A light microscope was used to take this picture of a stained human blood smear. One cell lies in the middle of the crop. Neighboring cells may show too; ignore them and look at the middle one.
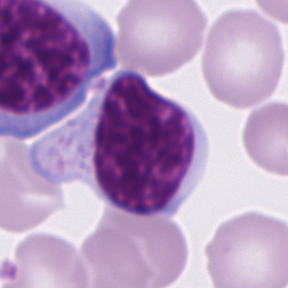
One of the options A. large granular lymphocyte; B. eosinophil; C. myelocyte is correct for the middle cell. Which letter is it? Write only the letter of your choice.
A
